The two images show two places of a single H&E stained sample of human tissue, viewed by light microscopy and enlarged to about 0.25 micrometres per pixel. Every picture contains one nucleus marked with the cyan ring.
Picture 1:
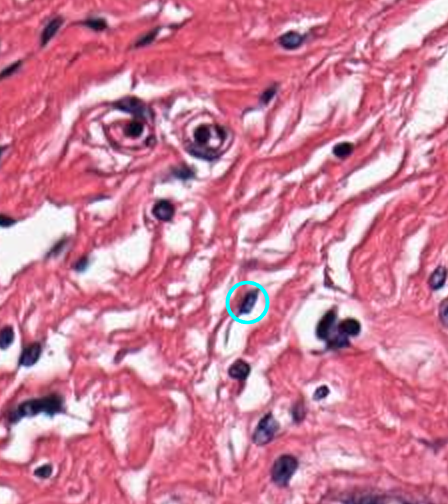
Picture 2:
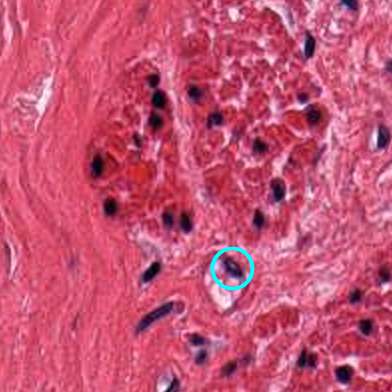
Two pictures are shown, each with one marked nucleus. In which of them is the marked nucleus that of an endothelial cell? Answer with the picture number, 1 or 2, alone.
2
